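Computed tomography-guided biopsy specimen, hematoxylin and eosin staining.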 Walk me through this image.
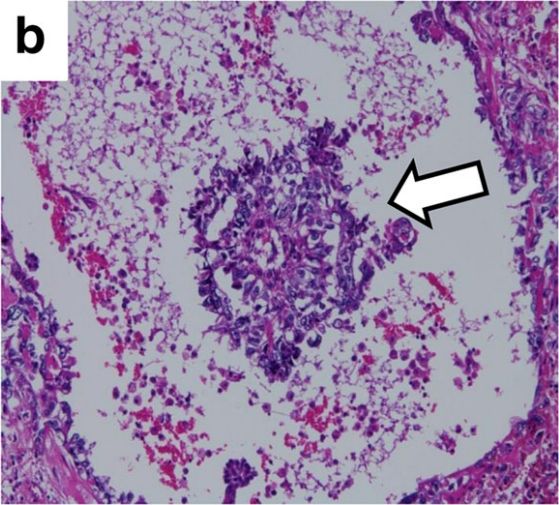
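Tumor tissue with a Schiller–Duval body: a rounded cluster of tumor cells with dark purple nuclei lies free within a wide space, the cells arranged as a cuff around a small central core. The space around the cluster holds loose, pale, lacy material and scattered red blood cells. At the edges of the field, strands of pink fibrous tissue carry further tumor cells with dark, crowded nuclei. The cluster is well set off from the wall of the space, giving a structure that resembles a glomerulus.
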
